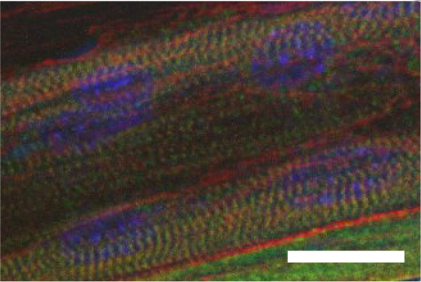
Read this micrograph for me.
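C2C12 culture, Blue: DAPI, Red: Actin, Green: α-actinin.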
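At higher magnification, several parallel myotubes show oval blue nuclei lying within the fibres. The cytoplasm carries regular transverse striations in green and red, repeating closely along the length of each fibre, and red lines mark the fibre edges.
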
